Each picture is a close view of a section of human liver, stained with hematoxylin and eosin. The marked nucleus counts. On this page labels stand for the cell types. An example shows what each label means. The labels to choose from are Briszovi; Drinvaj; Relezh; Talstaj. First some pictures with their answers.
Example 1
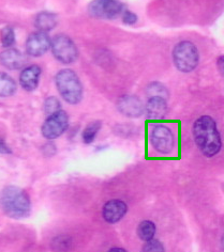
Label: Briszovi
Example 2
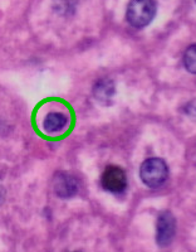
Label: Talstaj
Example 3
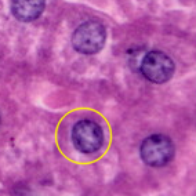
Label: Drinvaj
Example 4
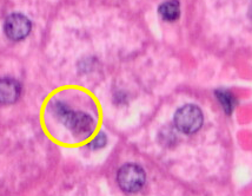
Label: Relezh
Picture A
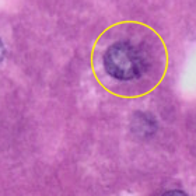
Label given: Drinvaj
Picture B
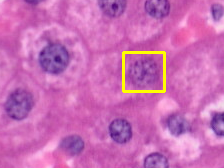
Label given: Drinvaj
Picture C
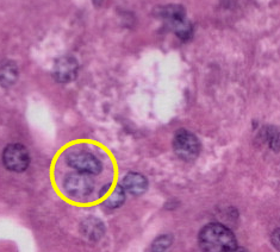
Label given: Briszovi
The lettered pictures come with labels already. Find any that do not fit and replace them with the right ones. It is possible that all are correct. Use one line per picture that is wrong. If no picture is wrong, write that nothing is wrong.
None of the labels needs changing.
